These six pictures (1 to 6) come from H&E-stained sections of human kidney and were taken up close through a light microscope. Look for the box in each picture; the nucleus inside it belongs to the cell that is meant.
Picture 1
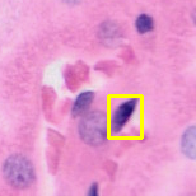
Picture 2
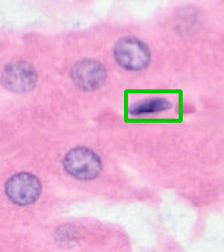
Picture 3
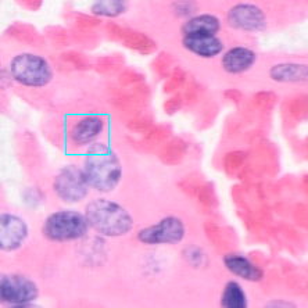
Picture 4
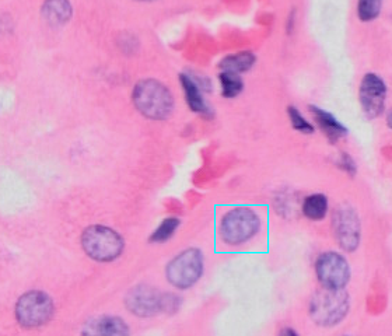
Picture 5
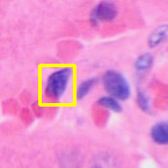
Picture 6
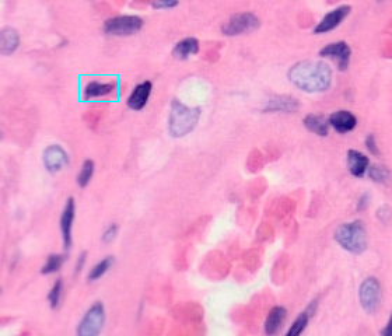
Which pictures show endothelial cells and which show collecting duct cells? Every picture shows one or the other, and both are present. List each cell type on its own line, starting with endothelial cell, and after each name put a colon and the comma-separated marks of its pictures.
endothelial cell: 1, 2, 5, 6
collecting duct cell: 3, 4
